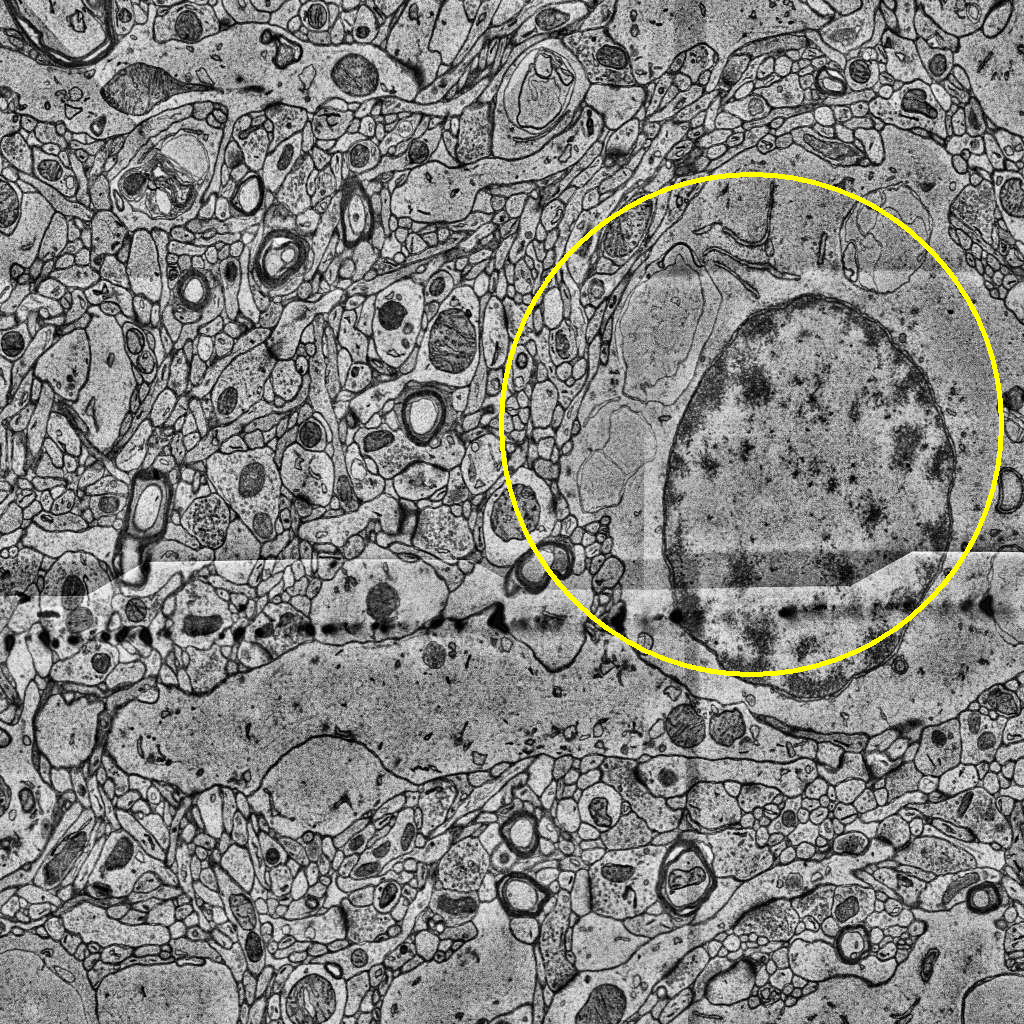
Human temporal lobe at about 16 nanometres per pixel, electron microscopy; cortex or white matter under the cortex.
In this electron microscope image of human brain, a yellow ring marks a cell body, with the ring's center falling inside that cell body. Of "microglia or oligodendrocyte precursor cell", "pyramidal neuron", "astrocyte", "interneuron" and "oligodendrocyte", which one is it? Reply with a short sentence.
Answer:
It is an astrocyte at the center of the ring.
